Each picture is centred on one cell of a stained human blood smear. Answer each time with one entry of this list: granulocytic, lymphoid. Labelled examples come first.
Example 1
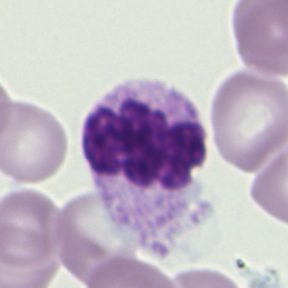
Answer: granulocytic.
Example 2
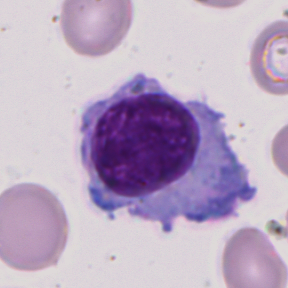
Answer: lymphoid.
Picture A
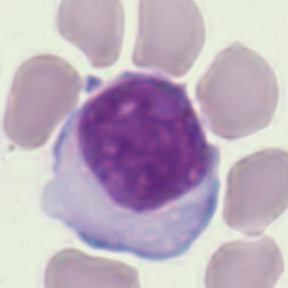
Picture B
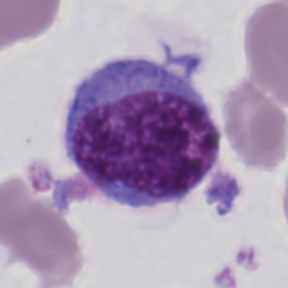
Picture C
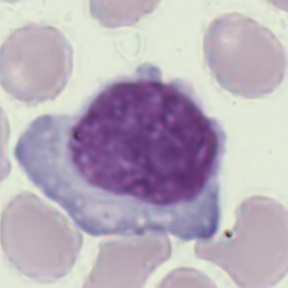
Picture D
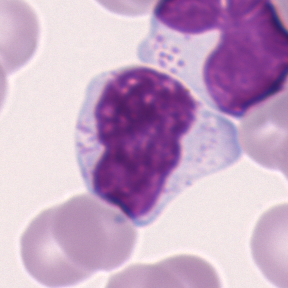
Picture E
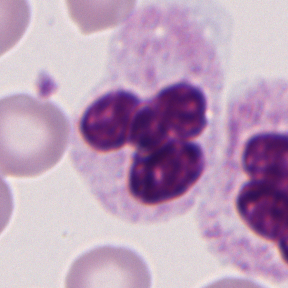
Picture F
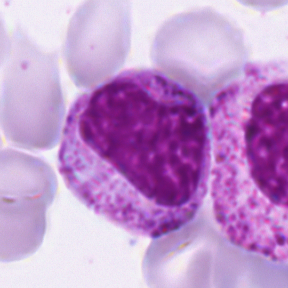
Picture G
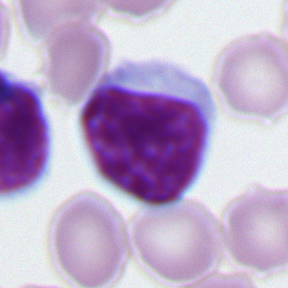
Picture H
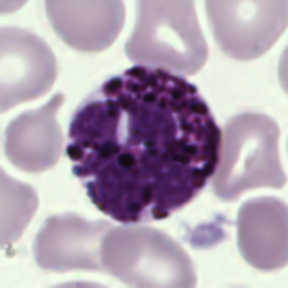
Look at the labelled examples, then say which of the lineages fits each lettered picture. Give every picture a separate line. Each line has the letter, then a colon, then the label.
A: lymphoid.
B: lymphoid.
C: lymphoid.
D: lymphoid.
E: granulocytic.
F: granulocytic.
G: lymphoid.
H: granulocytic.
